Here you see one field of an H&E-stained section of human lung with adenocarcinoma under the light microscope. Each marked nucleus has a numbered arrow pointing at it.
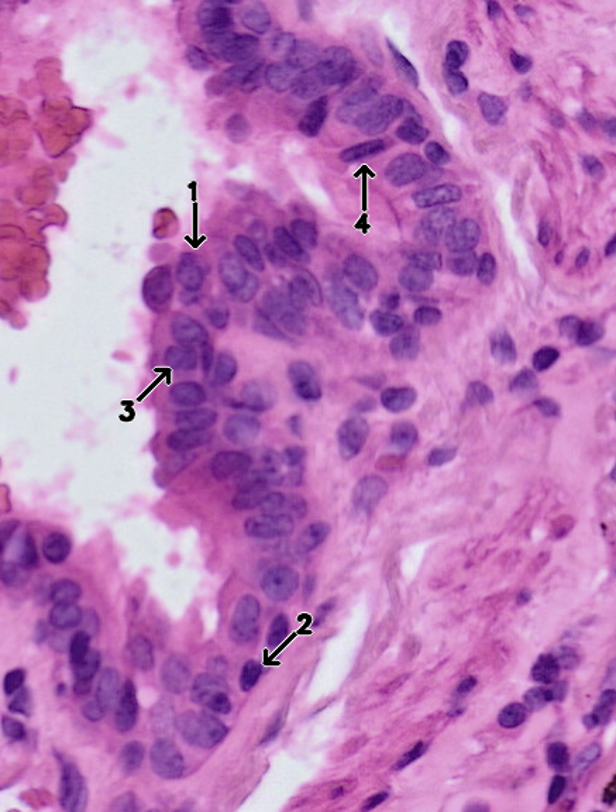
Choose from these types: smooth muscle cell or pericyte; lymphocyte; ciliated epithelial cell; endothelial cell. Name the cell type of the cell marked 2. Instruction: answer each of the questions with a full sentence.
Cell 2, among those numbered, is a lymphocyte.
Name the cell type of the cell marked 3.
The numbered cell 3 is identified here as a ciliated epithelial cell.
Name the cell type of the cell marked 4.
Marked with the number 4, this cell is a ciliated epithelial cell.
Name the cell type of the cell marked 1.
Numbered cell 1 is a ciliated epithelial cell in this tissue section.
